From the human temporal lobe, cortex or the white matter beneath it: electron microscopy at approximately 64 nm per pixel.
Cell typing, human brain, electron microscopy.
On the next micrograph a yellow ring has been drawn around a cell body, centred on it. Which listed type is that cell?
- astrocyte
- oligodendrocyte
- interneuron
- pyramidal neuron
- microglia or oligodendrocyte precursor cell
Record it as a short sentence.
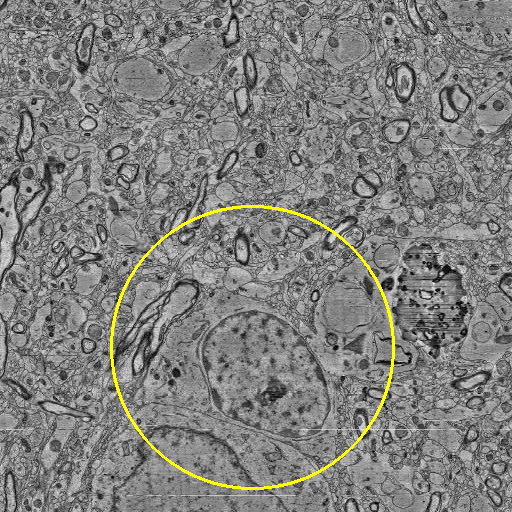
The cell body in the ring's centre belongs to a microglial cell or oligodendrocyte precursor cell.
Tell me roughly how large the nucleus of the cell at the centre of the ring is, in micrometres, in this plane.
In this plane, approximately 9 by 7 micrometers.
